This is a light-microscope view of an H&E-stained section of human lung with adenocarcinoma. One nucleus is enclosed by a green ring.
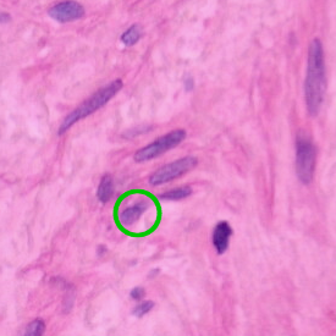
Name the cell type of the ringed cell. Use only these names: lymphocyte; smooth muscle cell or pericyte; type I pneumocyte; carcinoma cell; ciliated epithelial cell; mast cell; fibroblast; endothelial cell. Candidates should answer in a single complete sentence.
Typologically, the ringed cell is a smooth muscle cell or pericyte in this section.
